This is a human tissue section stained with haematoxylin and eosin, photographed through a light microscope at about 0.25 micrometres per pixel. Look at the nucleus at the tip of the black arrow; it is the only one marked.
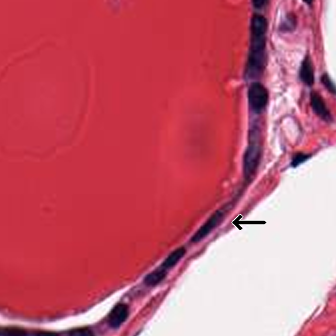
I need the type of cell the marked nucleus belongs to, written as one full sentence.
The marked nucleus belongs, in this picture, to a thyroid follicular cell.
